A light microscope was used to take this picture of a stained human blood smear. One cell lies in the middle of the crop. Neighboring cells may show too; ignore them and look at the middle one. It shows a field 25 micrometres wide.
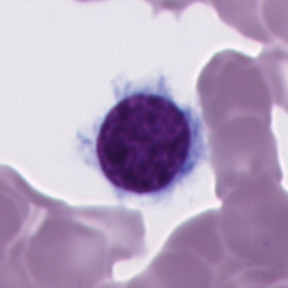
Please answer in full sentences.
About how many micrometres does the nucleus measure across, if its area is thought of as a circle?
About 8 micrometres: that is the diameter of the nucleus.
